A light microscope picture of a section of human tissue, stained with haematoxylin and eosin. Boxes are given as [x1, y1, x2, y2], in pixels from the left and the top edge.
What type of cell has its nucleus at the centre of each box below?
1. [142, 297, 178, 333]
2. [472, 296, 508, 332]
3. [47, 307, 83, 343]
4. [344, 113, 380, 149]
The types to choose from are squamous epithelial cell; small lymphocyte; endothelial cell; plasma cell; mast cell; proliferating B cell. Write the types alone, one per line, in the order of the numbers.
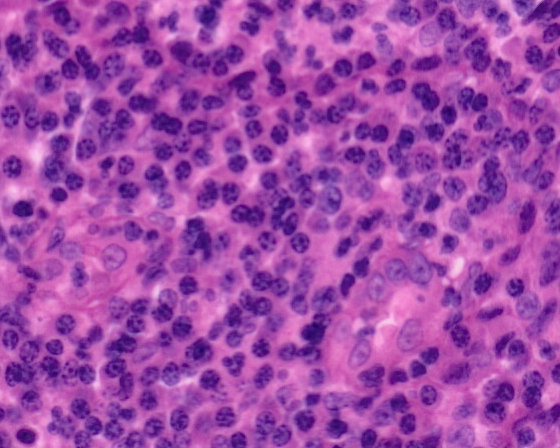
plasma cell
squamous epithelial cell
plasma cell
plasma cell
